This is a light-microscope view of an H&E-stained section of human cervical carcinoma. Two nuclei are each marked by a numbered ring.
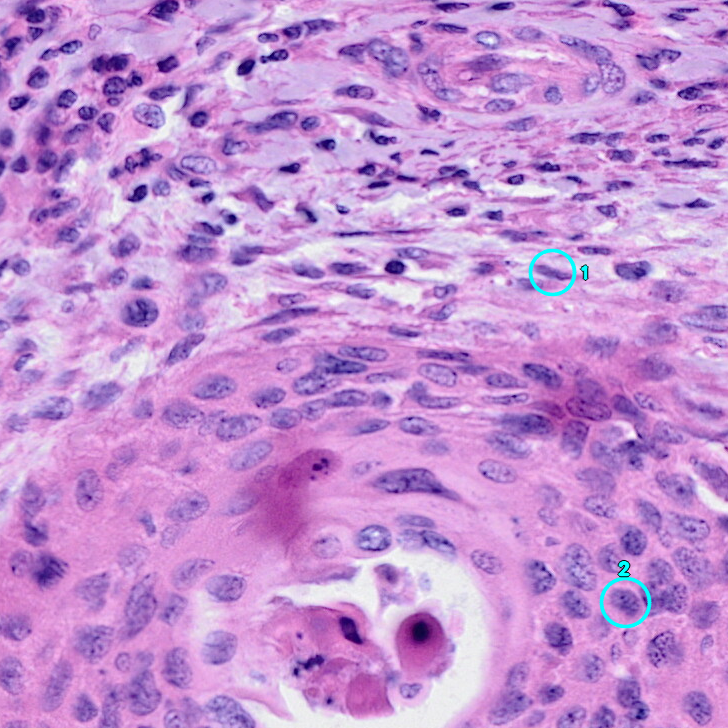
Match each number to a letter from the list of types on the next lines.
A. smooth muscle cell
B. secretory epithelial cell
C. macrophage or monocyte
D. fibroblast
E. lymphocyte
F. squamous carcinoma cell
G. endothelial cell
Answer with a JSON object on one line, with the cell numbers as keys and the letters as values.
{"1": "D", "2": "F"}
